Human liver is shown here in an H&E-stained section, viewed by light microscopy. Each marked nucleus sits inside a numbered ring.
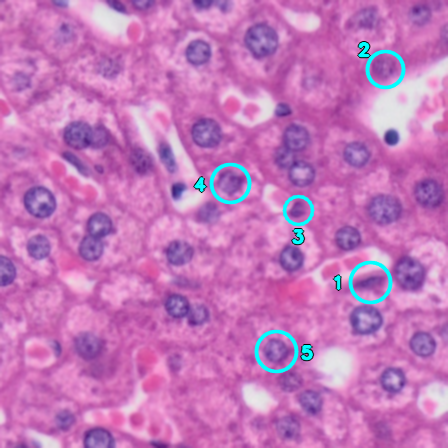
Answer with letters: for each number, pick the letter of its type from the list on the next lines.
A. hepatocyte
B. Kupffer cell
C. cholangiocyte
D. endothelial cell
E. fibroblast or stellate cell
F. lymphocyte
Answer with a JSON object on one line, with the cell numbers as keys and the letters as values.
{"1": "B", "2": "A", "3": "E", "4": "A", "5": "A"}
